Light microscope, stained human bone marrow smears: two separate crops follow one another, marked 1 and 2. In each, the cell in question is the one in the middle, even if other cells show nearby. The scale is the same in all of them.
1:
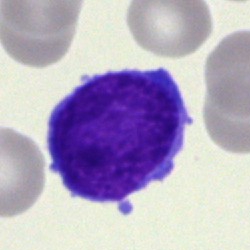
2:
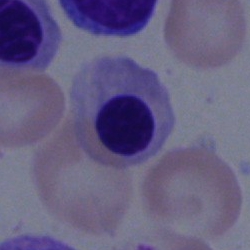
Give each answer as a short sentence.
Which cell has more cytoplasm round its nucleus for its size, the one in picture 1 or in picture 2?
It is the cell in picture 2 that is filled less by its nucleus.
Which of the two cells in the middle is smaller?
Picture 2 holds the smaller cell, since the cell in picture 1 covers about 2 times as much area.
